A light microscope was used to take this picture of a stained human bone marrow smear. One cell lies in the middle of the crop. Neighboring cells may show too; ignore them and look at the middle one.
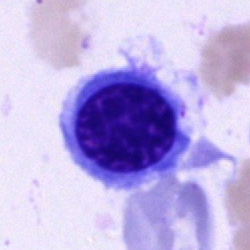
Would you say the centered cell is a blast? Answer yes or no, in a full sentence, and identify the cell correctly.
No, the cell sitting in the centre of the crop is an erythroblast, not a blast.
